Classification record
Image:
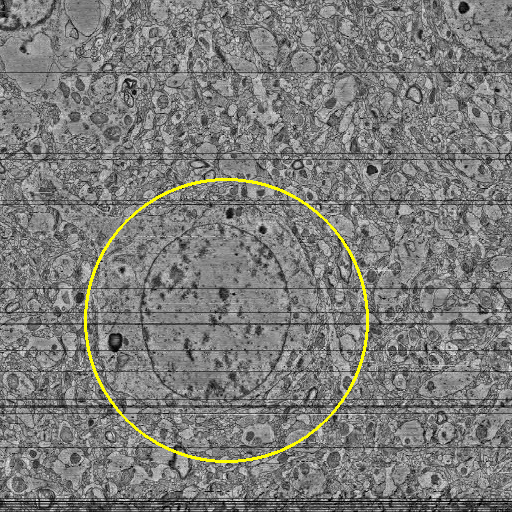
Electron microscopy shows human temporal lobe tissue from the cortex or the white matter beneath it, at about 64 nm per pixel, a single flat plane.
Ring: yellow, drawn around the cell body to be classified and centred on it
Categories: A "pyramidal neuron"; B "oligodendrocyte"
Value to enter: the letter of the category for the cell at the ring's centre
A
